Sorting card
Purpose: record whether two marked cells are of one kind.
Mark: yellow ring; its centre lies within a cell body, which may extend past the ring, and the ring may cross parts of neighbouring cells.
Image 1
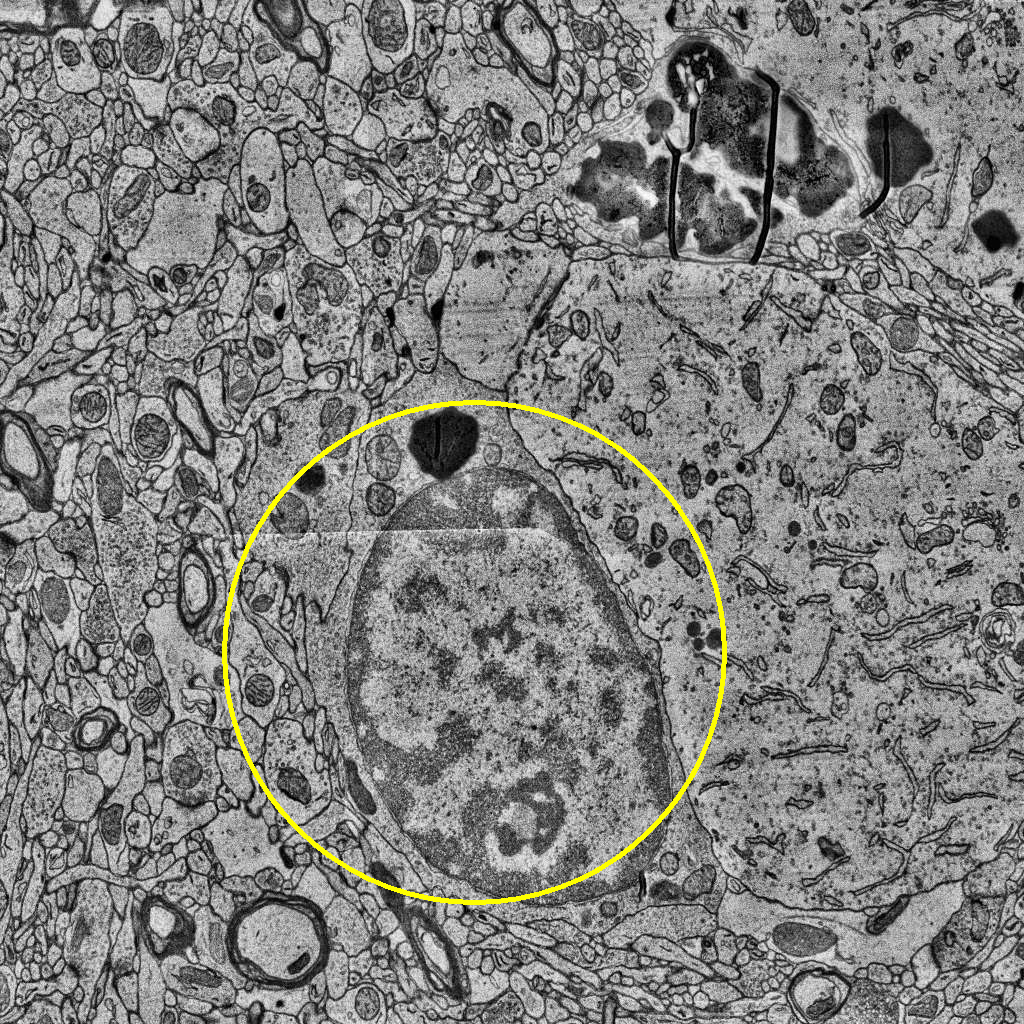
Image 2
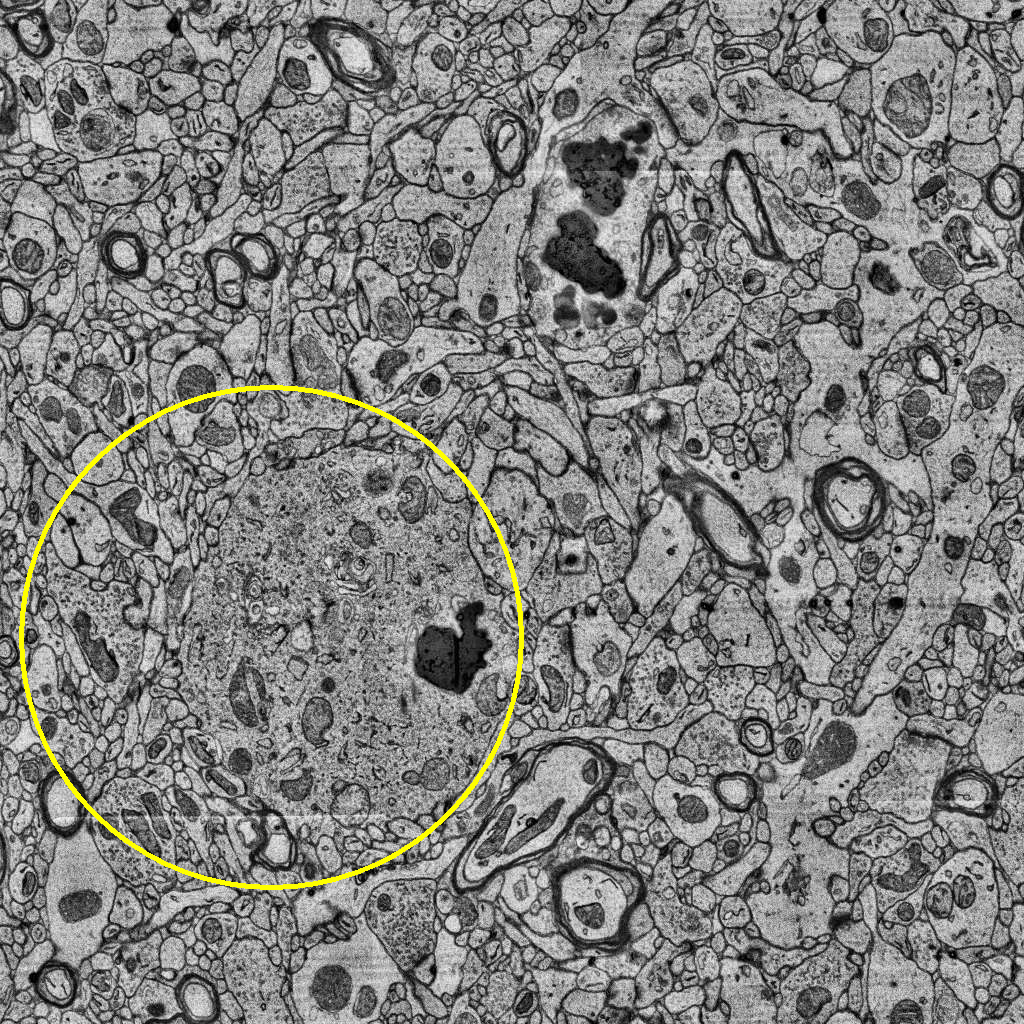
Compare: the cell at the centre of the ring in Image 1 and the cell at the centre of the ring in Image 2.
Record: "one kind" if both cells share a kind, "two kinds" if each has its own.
one kind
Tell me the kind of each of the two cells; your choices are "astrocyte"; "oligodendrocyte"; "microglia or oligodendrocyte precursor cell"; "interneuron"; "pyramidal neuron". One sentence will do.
Both pictures show an oligodendrocyte at the centre of the ring.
